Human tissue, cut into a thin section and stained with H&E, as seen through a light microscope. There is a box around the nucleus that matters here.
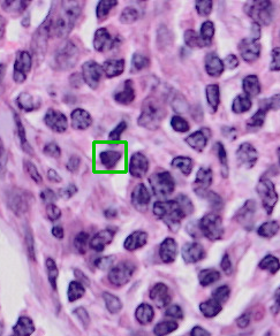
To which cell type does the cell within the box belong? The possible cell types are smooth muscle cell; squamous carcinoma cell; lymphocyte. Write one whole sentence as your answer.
The cell type of the cell within the box is that of a lymphocyte.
